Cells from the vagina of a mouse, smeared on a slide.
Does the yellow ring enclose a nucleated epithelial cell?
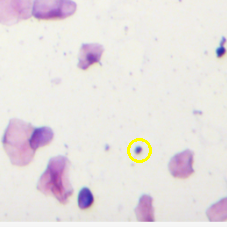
No. The ring encloses a leukocyte.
